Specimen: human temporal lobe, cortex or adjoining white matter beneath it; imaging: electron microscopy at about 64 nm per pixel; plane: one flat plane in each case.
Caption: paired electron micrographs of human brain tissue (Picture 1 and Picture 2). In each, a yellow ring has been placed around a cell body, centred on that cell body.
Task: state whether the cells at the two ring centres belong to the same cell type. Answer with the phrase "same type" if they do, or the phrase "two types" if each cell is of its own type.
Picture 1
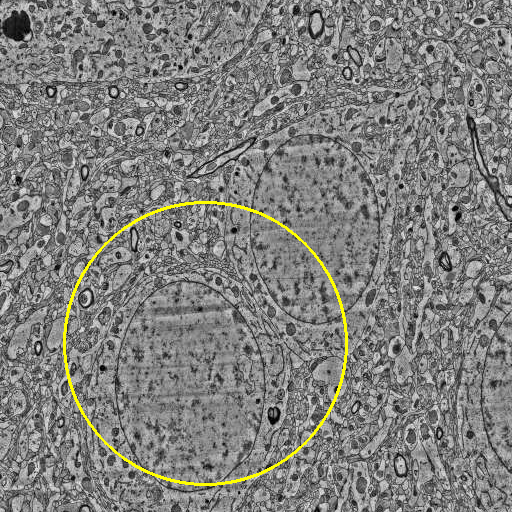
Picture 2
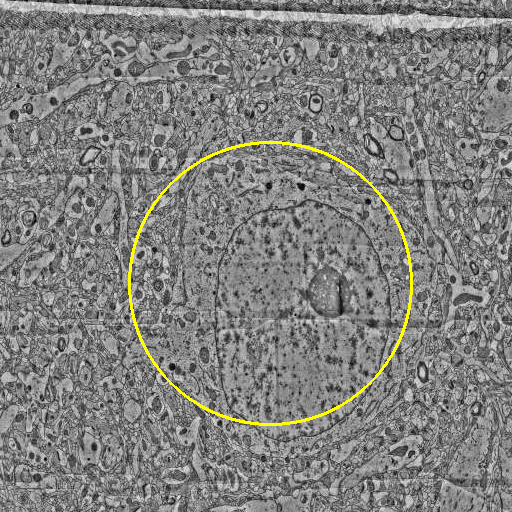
same type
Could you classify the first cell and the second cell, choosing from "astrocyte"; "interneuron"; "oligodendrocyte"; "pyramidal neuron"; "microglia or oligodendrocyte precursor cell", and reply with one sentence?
The cell at the ring centre is a pyramidal neuron in both pictures.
